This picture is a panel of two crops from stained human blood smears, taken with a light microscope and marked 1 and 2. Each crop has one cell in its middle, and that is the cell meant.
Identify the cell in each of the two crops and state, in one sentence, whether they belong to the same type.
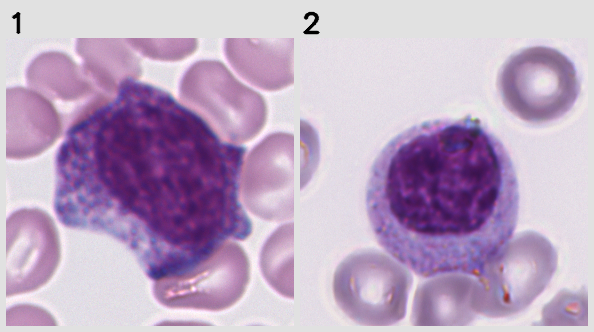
No, a myelocyte is in crop 2, and a promyelocyte is in crop 1.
